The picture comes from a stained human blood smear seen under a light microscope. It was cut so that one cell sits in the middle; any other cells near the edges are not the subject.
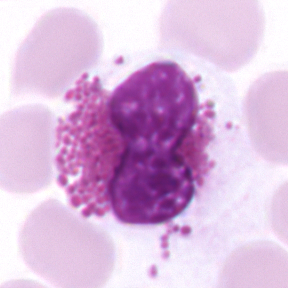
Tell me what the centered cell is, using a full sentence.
At the crop's centre, the cell is an eosinophil.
